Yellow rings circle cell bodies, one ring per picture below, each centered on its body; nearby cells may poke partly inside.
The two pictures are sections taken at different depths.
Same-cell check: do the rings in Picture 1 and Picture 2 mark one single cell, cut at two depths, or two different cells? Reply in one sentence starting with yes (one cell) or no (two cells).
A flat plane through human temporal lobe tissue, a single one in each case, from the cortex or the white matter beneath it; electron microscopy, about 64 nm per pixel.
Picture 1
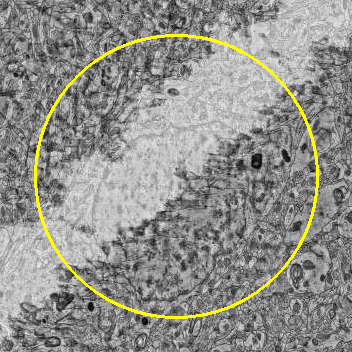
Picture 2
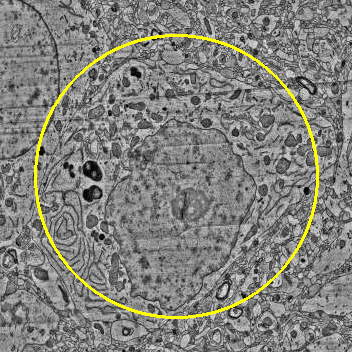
No, the pair of rings marks a pair of different cells.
